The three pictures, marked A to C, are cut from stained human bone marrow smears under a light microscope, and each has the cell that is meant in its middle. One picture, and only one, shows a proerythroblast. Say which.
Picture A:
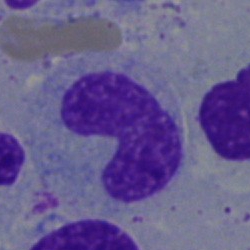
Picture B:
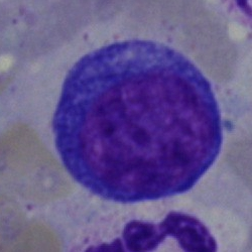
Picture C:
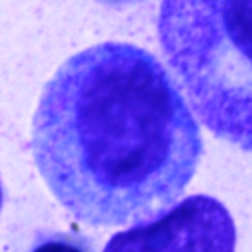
B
